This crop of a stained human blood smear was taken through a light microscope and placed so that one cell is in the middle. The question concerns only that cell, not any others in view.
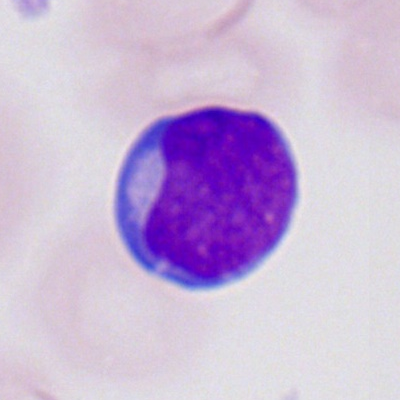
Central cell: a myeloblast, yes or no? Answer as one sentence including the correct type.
Yes, at the centre of the crop lies a myeloblast.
